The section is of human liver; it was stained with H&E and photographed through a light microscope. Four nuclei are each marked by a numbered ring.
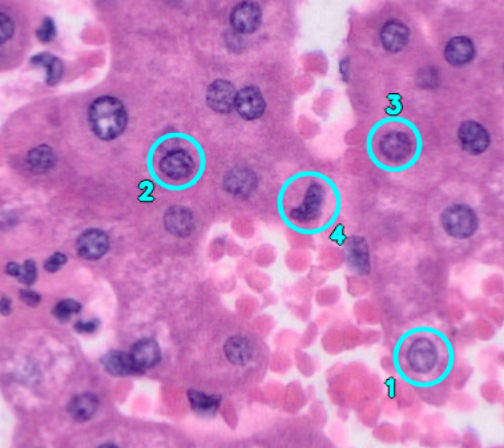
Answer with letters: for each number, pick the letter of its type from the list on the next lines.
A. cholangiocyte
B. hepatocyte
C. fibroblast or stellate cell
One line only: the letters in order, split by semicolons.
B; B; B; C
